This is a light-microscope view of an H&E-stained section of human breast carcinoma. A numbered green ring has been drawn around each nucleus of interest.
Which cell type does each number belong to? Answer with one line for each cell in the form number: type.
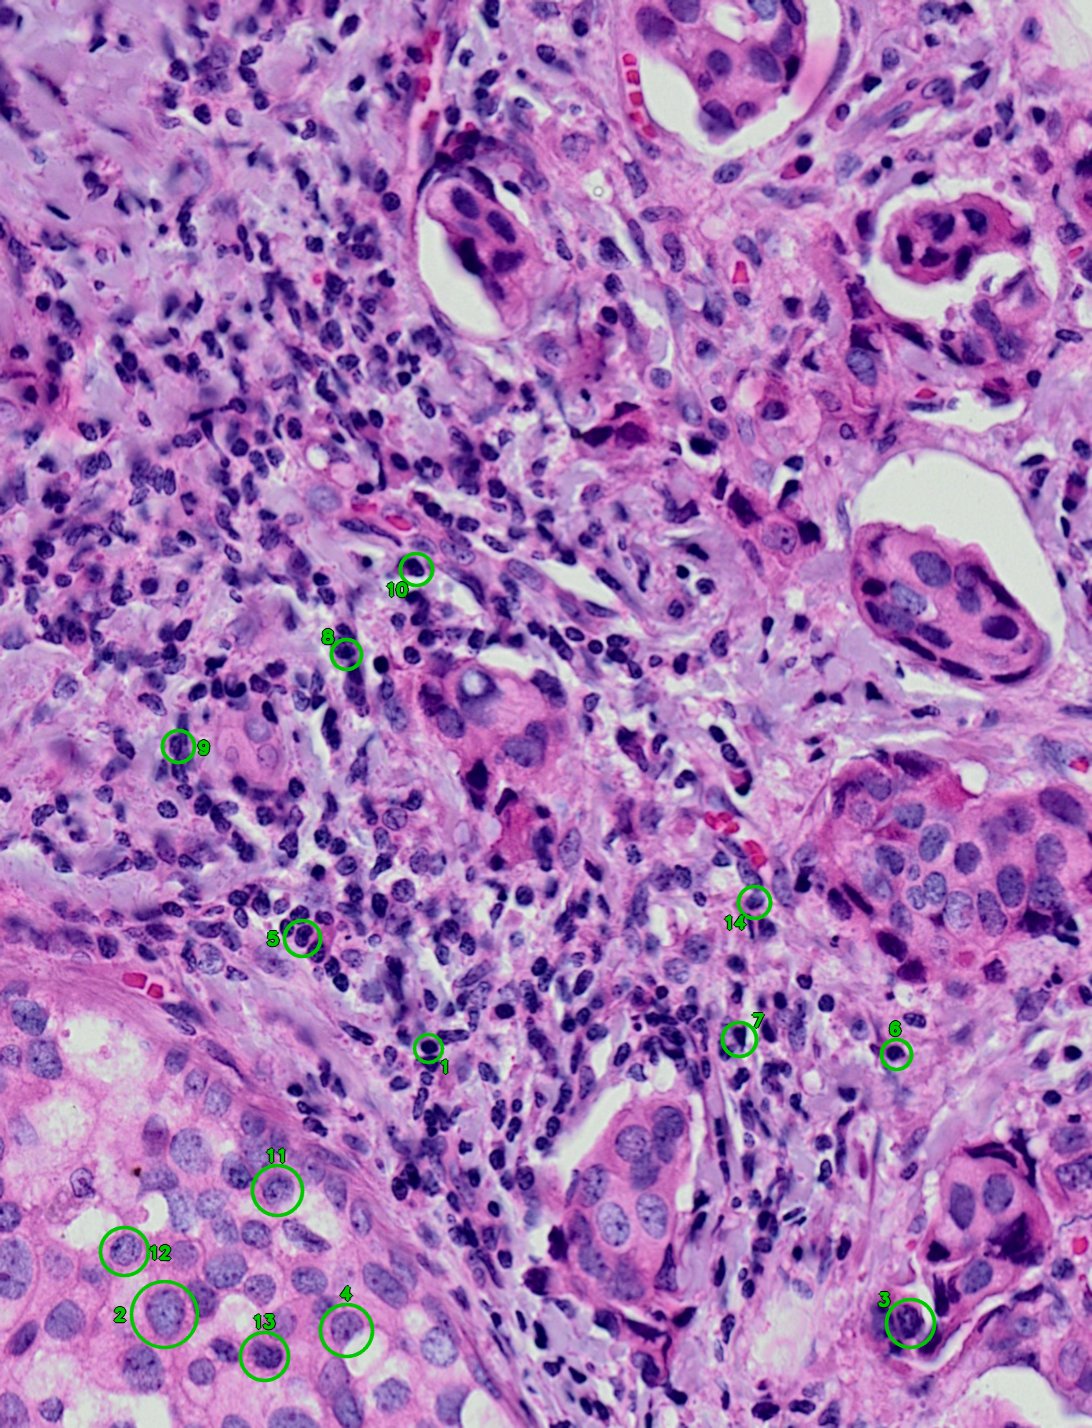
1: lymphocyte
2: carcinoma cell
3: carcinoma cell
4: carcinoma cell
5: lymphocyte
6: lymphocyte
7: lymphocyte
8: lymphocyte
9: lymphocyte
10: lymphocyte
11: carcinoma cell
12: carcinoma cell
13: carcinoma cell
14: lymphocyte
